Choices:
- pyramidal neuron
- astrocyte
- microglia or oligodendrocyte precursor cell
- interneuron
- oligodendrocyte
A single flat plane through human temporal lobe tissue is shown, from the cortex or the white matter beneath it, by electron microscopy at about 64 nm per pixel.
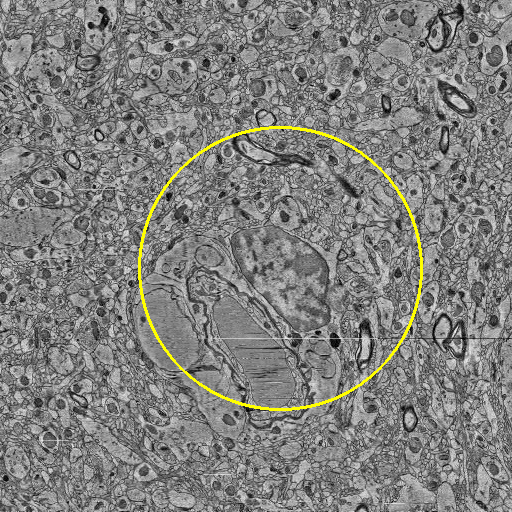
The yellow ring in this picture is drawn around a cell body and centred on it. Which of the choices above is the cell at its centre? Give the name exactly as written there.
microglia or oligodendrocyte precursor cell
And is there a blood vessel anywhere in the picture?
Yes, there is one.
